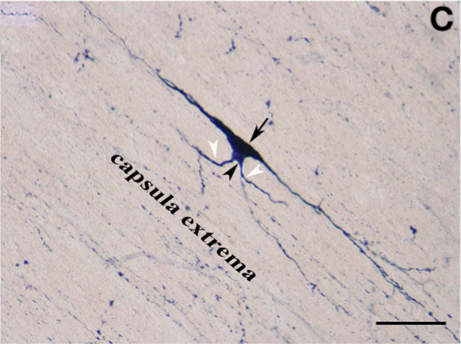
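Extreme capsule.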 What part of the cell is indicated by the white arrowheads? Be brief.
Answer: Short dendrites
